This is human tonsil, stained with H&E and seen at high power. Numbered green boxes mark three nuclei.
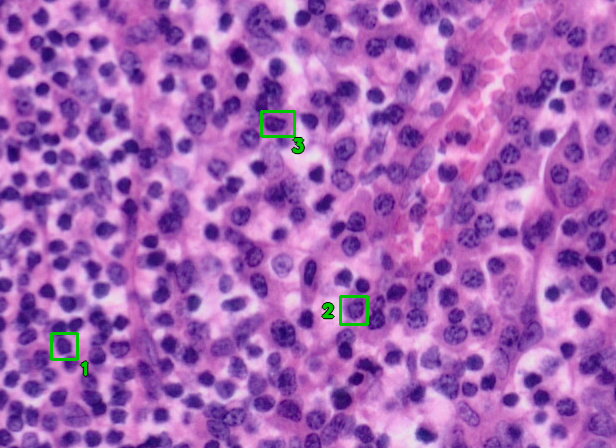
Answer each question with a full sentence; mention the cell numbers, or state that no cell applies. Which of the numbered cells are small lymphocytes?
Cell 1 is a small lymphocyte, and it is the only one.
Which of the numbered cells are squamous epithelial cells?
There are no squamous epithelial cells among the cells marked with numbers.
